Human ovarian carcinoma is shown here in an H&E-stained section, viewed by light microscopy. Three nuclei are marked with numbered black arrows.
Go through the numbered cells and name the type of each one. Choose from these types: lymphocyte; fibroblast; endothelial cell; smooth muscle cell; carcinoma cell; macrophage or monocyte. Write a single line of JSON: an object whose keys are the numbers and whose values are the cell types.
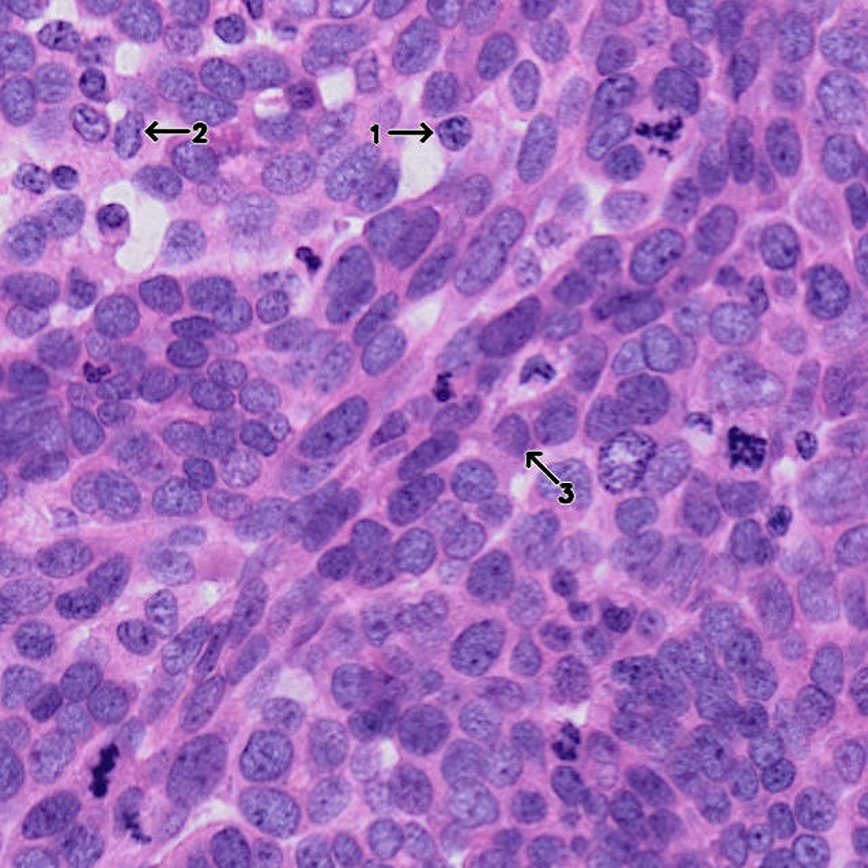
{"1": "macrophage or monocyte", "2": "macrophage or monocyte", "3": "carcinoma cell"}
